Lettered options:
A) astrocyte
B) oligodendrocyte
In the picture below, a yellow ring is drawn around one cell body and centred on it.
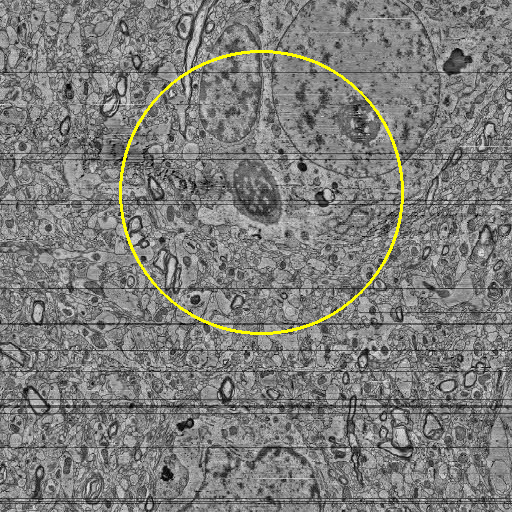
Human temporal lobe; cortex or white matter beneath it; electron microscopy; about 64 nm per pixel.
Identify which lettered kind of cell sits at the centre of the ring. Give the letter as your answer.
B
